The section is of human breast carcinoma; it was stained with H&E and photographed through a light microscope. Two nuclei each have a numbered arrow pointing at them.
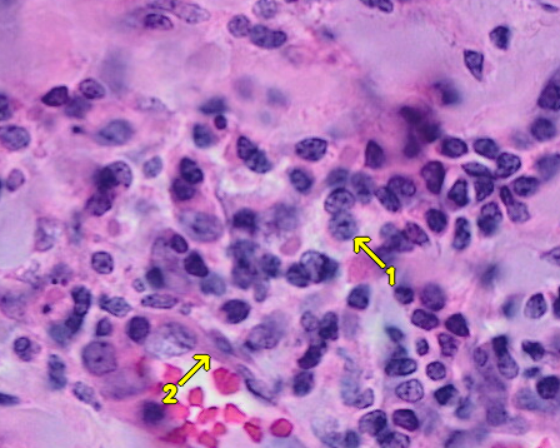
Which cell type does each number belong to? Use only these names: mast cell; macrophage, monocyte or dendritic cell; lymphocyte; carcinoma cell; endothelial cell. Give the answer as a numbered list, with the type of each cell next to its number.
1. mast cell
2. endothelial cell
